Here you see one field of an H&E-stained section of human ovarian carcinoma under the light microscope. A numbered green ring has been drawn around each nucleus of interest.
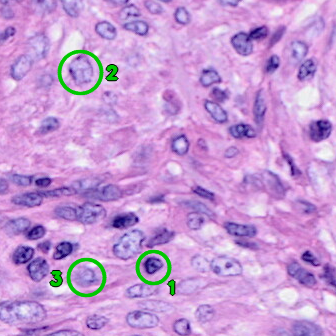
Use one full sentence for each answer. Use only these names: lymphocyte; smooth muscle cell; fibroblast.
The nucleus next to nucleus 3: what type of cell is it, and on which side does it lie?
A lymphocyte lies closest, above and to the left of nucleus 3.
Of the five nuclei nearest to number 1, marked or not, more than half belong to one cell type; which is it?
Around number 1, most of the five nearest nuclei are those of fibroblasts.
